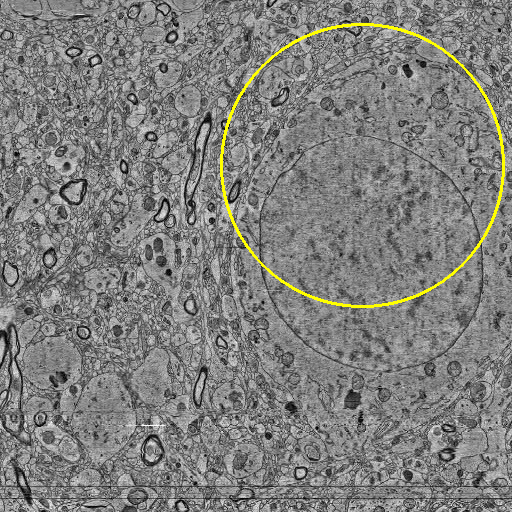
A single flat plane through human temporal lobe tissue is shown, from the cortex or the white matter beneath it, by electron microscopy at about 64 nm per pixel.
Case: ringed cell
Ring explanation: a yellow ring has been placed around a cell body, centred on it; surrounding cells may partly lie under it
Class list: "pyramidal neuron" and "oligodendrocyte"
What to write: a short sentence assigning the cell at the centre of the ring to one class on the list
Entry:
The cell at the ring's centre is a pyramidal neuron.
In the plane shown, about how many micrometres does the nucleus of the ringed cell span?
The ringed cell's nucleus is about 15 micrometres across in this plane.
